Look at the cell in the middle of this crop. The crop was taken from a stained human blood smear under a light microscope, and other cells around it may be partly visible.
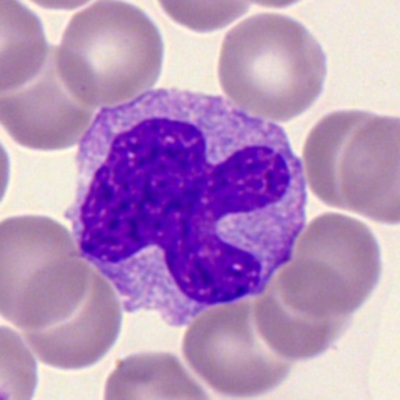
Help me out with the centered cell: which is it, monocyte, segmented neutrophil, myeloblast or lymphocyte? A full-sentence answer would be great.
The identification for the central cell is a monocyte.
